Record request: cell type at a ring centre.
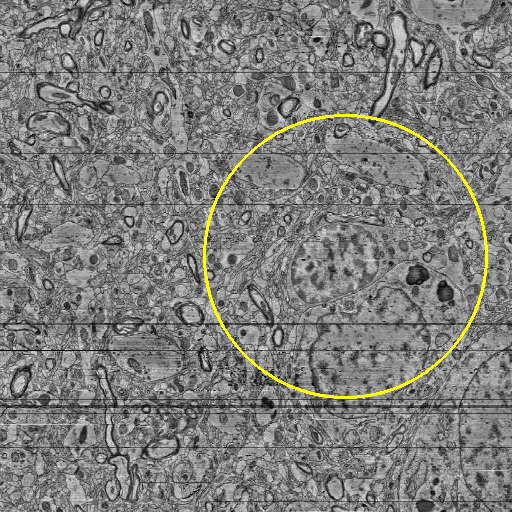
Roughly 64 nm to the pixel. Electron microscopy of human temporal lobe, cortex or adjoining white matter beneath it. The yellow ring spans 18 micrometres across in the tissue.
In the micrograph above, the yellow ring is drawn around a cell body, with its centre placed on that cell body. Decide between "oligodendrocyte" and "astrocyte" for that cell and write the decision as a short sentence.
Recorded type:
The cell centred in the yellow ring is an oligodendrocyte.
